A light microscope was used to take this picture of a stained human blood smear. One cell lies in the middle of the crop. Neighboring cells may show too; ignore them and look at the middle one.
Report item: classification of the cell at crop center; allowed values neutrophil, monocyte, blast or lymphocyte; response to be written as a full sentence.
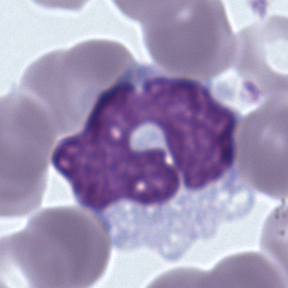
Answering briefly, the cell in the middle is a monocyte.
